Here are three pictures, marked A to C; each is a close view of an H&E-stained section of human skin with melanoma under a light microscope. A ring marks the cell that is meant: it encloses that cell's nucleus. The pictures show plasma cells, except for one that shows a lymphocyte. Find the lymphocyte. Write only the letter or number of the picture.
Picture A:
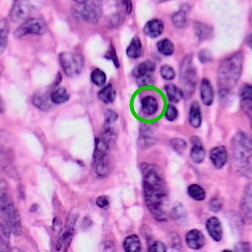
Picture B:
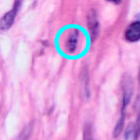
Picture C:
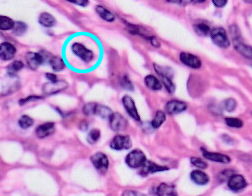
C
